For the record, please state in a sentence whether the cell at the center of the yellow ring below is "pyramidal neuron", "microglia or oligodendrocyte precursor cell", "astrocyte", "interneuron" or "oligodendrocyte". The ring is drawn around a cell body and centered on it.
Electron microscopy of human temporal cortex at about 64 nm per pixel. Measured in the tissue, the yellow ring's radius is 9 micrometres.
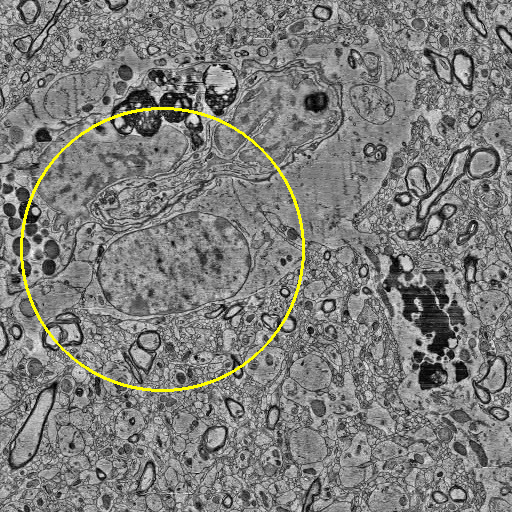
The cell at the ring's center is a microglial cell or oligodendrocyte precursor cell.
